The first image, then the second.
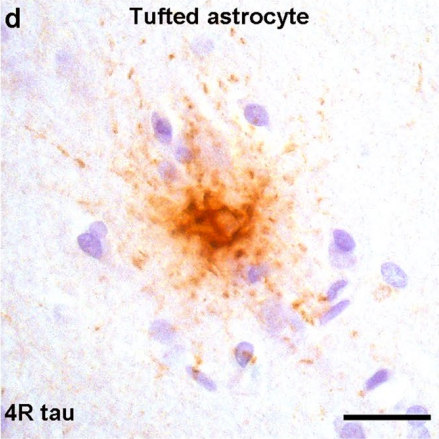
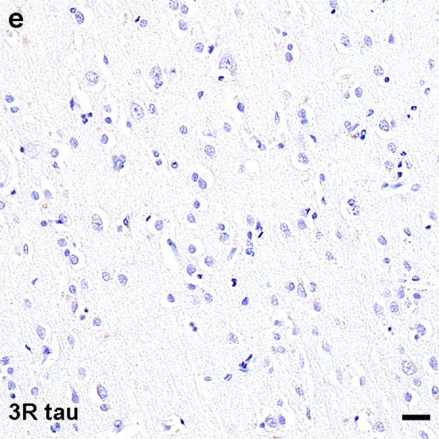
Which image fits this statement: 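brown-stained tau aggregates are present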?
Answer: The first image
